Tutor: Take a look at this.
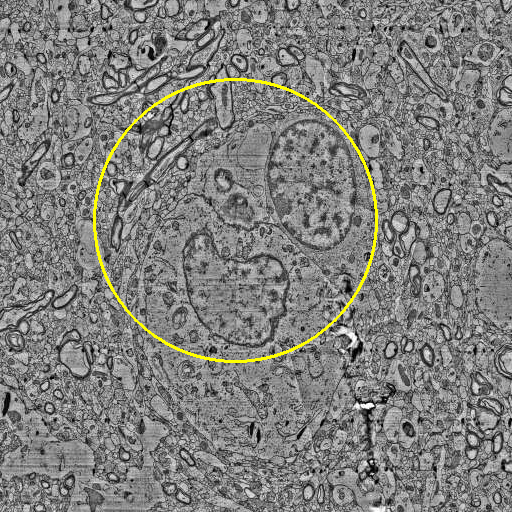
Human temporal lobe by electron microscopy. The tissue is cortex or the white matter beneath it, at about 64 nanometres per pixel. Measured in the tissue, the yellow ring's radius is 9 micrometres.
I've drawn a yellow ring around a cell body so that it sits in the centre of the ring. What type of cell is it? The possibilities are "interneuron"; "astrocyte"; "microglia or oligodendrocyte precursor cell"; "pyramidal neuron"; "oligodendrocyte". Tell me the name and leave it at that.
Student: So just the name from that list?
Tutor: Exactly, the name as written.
microglia or oligodendrocyte precursor cell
